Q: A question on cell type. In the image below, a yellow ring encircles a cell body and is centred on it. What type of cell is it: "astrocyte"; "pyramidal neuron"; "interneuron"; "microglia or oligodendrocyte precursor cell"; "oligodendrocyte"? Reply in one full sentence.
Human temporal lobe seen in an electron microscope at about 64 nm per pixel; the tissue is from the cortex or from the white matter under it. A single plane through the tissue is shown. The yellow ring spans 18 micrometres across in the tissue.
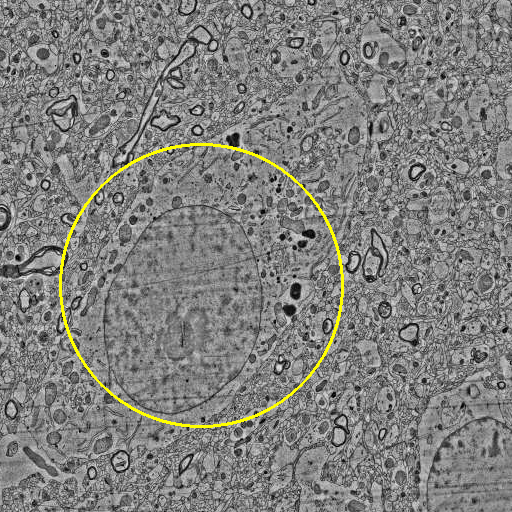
It is an interneuron whose cell body sits at the centre of the yellow ring in the image.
